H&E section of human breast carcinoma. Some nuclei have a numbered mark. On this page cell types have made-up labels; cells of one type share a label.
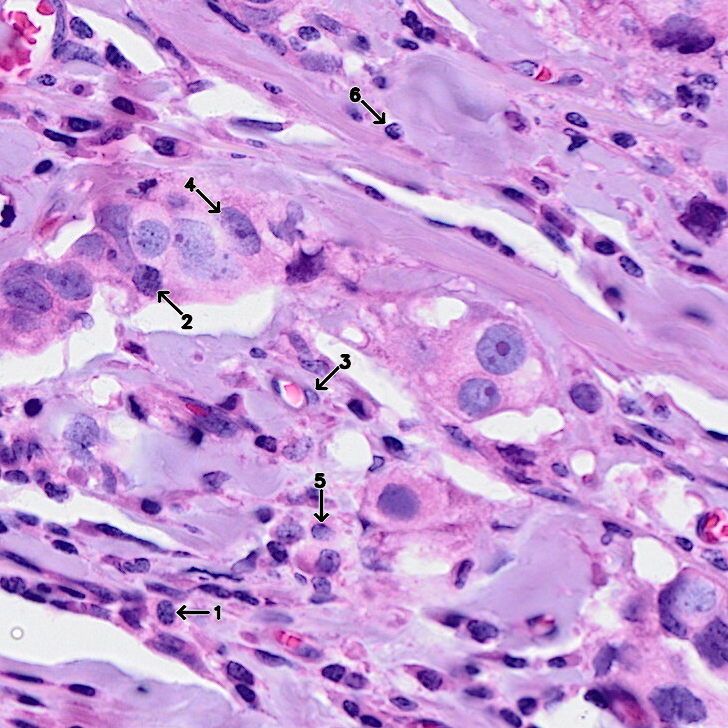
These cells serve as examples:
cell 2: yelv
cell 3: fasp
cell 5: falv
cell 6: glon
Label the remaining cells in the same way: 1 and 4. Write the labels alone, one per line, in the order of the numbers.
falv
yelv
